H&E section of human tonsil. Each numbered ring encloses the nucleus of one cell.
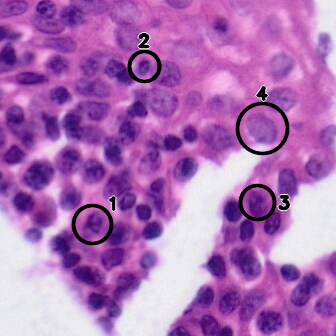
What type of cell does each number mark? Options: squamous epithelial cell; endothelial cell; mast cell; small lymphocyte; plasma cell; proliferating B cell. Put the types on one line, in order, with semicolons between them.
plasma cell; squamous epithelial cell; squamous epithelial cell; squamous epithelial cell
